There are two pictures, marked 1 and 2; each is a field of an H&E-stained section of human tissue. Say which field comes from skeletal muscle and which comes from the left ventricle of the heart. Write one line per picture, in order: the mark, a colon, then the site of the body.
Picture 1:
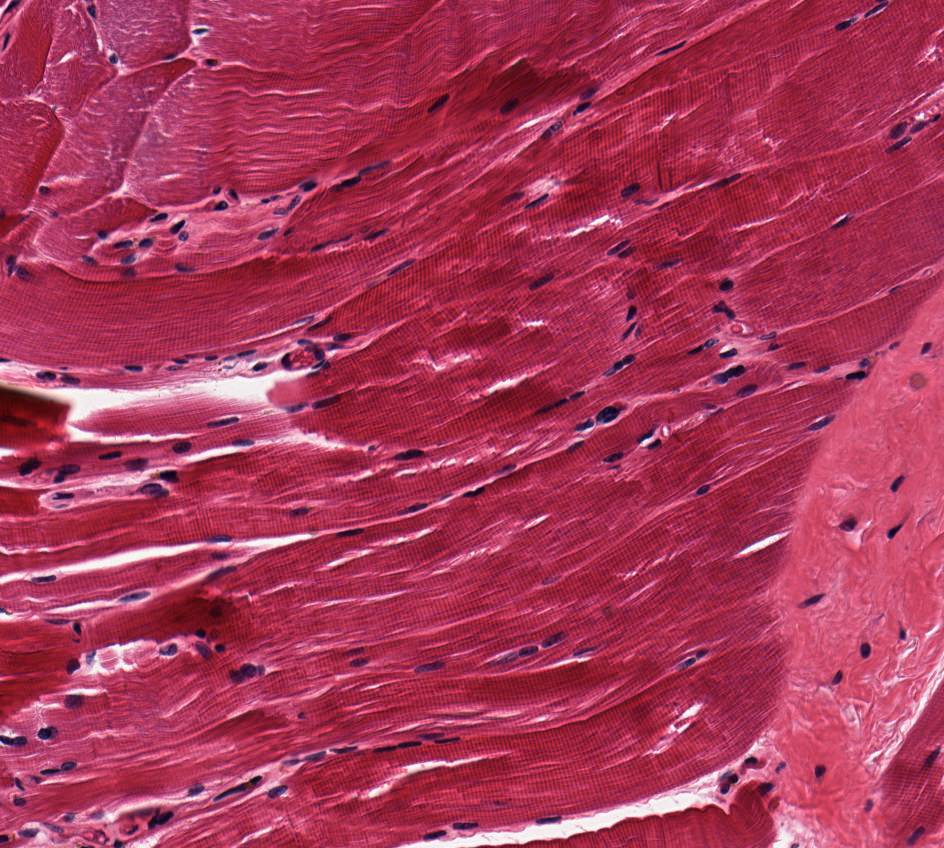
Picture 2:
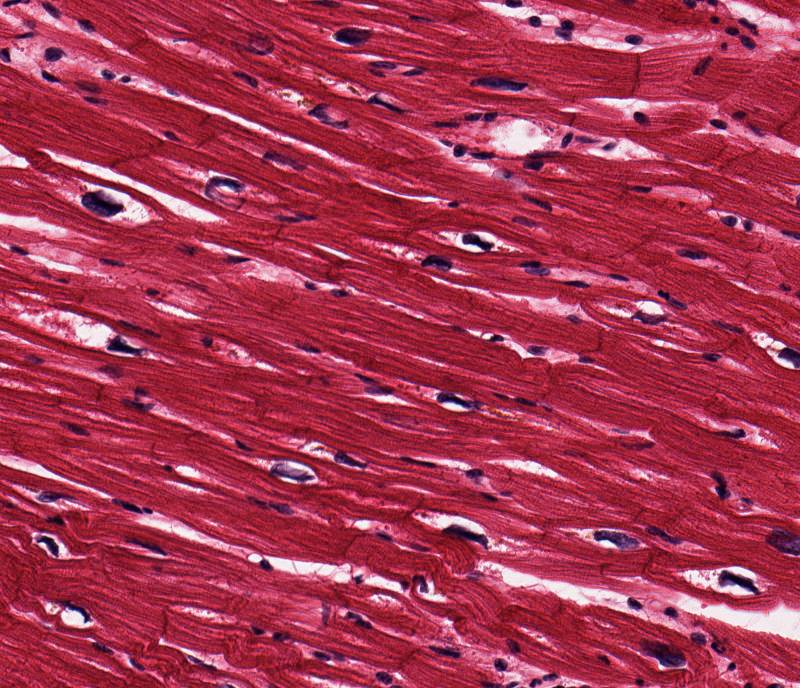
1: skeletal muscle
2: left ventricle of the heart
